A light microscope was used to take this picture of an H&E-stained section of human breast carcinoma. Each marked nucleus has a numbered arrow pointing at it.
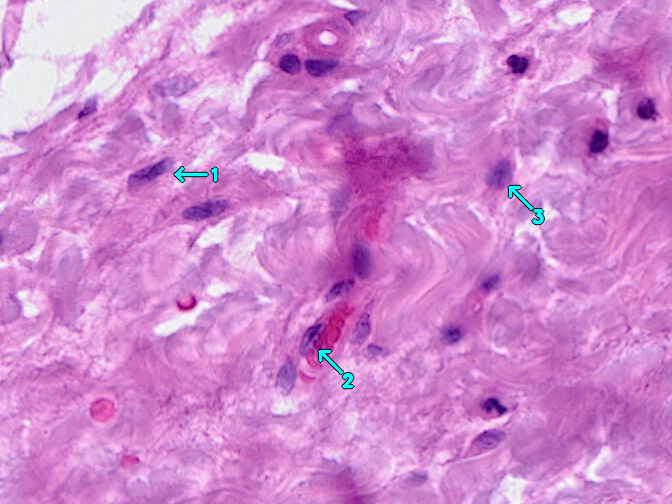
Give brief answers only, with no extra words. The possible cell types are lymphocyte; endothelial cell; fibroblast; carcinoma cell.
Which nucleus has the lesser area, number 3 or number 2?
2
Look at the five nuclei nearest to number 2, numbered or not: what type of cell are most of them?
fibroblast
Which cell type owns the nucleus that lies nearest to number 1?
fibroblast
